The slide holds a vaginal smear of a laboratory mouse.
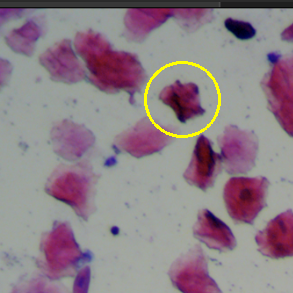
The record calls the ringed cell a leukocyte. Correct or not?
Not correct; it is a cornified epithelial cell.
